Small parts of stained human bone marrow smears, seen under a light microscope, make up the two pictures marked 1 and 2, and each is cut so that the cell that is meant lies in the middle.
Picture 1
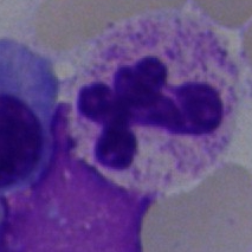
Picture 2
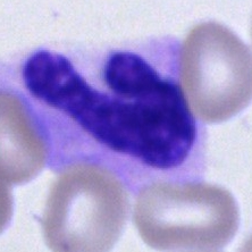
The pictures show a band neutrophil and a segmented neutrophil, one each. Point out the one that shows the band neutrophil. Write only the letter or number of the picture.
2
